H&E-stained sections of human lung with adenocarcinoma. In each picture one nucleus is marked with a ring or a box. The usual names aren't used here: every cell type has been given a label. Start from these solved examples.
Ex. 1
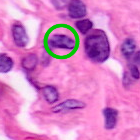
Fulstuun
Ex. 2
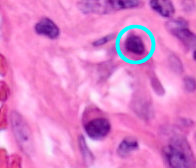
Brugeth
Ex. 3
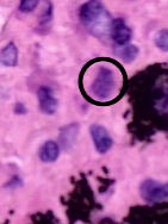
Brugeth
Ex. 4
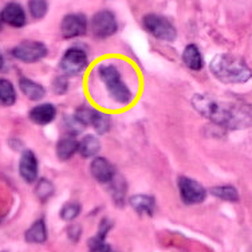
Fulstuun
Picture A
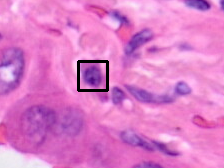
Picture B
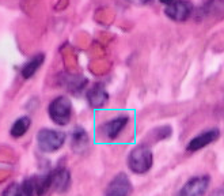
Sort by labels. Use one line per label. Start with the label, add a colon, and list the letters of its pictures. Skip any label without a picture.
Fulstuun: B
Brugeth: A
